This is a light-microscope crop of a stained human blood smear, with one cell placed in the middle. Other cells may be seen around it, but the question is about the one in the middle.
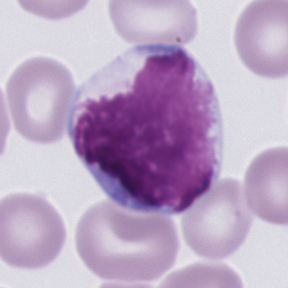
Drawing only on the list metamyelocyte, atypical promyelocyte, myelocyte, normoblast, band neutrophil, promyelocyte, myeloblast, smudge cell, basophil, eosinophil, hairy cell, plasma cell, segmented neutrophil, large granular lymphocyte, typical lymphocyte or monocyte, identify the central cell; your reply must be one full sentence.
Here the cell in the middle is a large granular lymphocyte.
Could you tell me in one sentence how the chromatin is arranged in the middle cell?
What stands out is chromatin that is coarsely clumped.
